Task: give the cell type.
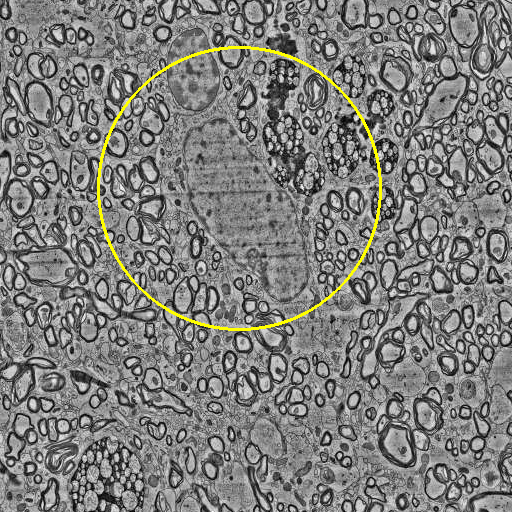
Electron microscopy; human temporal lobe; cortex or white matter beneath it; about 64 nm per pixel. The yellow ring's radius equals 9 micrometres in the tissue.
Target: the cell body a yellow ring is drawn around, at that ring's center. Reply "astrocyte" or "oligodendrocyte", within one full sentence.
In this picture, the cell whose body lies at the ring's center is an astrocyte.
